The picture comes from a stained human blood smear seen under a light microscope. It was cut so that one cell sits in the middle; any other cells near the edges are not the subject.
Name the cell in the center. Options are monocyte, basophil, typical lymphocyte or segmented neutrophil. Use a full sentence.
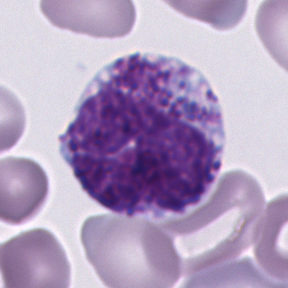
Classification of the middle cell gives a basophil.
